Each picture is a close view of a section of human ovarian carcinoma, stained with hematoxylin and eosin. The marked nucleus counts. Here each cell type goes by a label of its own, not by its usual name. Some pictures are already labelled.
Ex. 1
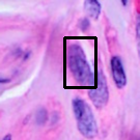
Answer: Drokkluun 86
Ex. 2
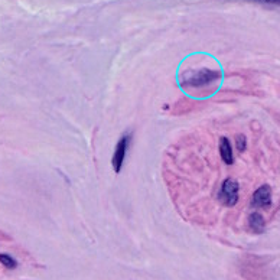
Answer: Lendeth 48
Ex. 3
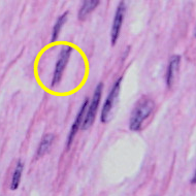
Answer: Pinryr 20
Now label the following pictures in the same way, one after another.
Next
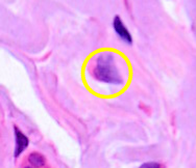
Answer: Pinryr 20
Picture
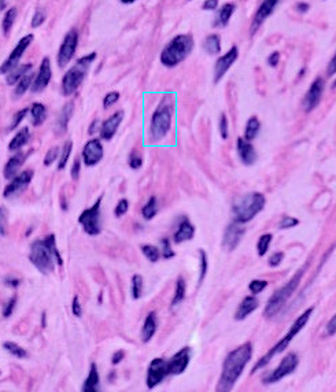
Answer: Lendeth 48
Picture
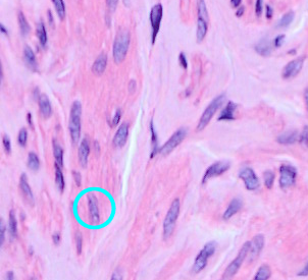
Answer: Lendeth 48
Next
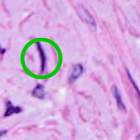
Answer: Pinryr 20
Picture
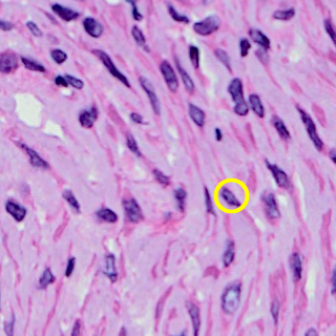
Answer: Pinryr 20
